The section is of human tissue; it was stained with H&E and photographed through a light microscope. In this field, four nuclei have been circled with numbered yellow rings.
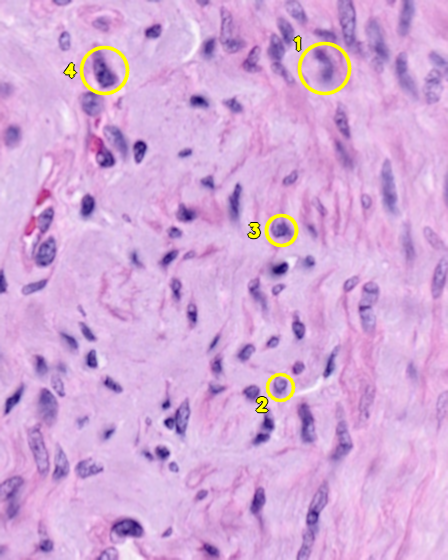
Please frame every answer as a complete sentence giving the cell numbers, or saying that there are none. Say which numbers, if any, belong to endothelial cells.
Just one of the numbered cells is an endothelial cell, namely number 4.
